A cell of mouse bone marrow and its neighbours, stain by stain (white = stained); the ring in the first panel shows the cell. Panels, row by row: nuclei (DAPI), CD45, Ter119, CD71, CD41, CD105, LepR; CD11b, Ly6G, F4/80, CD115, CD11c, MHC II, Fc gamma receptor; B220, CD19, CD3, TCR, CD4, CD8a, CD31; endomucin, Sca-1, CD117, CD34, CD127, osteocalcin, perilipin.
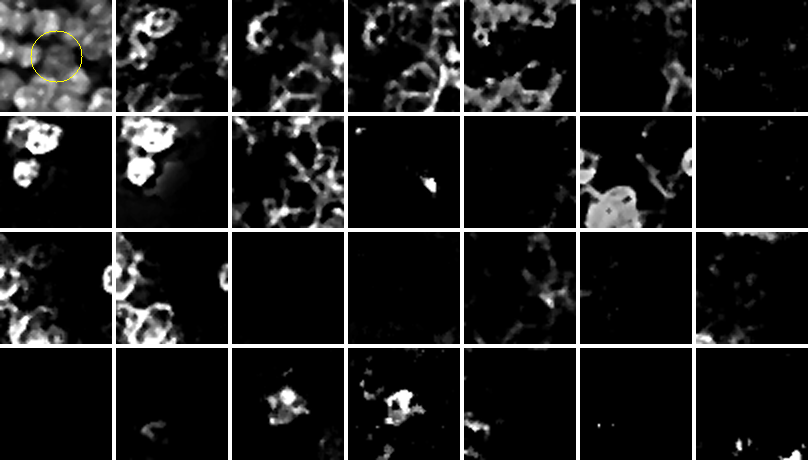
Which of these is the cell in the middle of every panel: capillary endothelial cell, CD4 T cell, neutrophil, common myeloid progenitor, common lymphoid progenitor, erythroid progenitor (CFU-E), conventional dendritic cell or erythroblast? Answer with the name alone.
common myeloid progenitor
